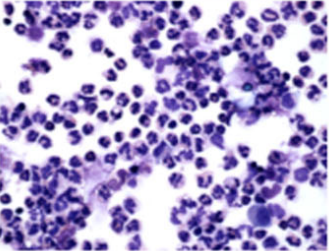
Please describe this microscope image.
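Most cells are small, with dark purple segmented nuclei of several lobes and pale cytoplasm. Occasional larger cells with single rounded nuclei and paler, more abundant cytoplasm are scattered among them.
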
